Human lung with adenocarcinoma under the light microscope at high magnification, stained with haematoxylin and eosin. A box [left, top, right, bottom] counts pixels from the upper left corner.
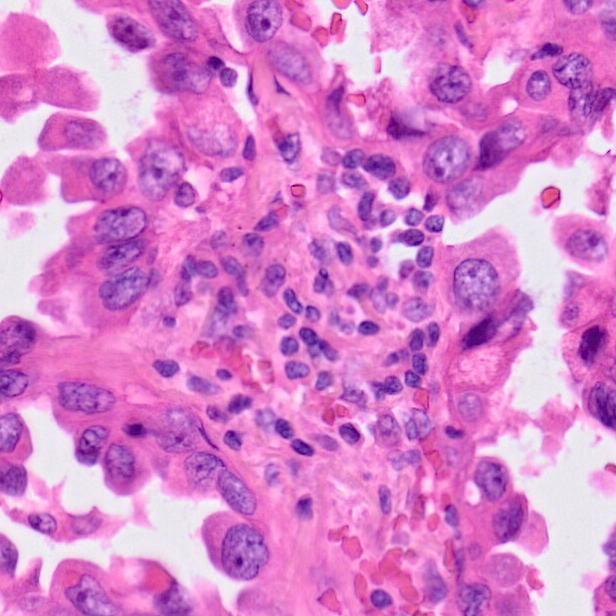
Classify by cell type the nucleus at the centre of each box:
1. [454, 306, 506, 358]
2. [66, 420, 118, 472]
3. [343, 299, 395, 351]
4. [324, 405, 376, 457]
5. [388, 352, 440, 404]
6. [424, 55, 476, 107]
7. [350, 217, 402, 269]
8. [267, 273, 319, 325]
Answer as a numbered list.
1. carcinoma cell
2. carcinoma cell
3. lymphocyte
4. lymphocyte
5. lymphocyte
6. carcinoma cell
7. lymphocyte
8. lymphocyte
